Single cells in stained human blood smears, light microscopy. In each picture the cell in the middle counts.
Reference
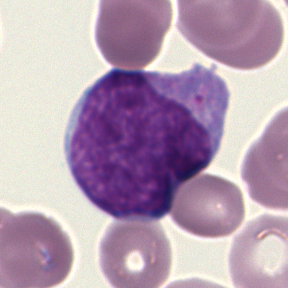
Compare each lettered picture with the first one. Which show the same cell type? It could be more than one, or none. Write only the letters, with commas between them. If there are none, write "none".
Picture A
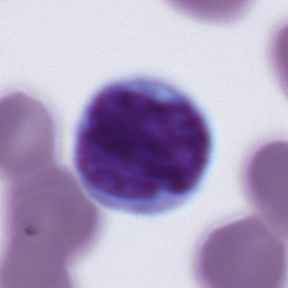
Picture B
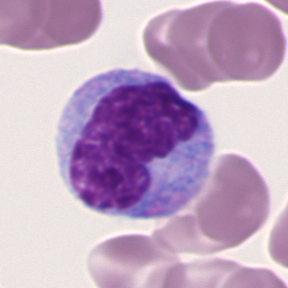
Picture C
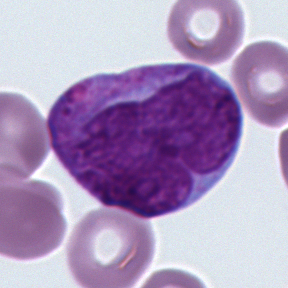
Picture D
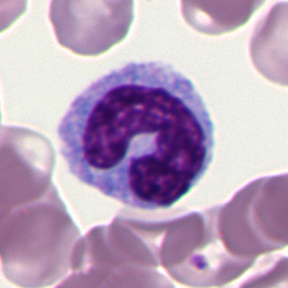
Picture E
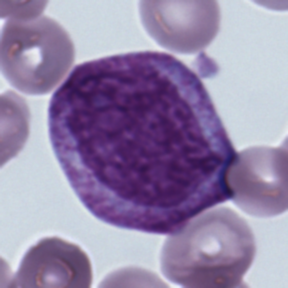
C, E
